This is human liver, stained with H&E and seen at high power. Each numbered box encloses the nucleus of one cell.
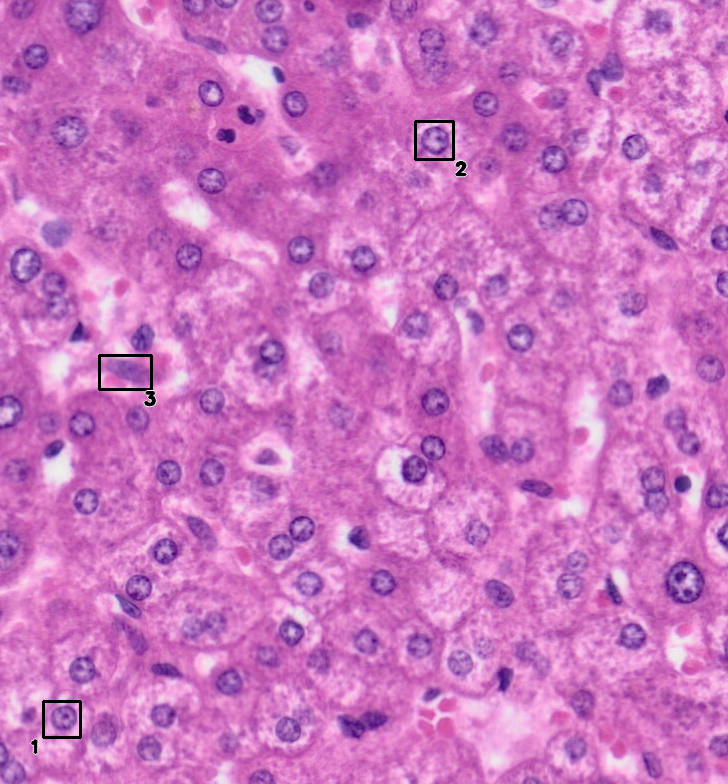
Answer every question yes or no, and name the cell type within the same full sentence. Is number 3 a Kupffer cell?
Yes, the cell with the number 3 is a Kupffer cell.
